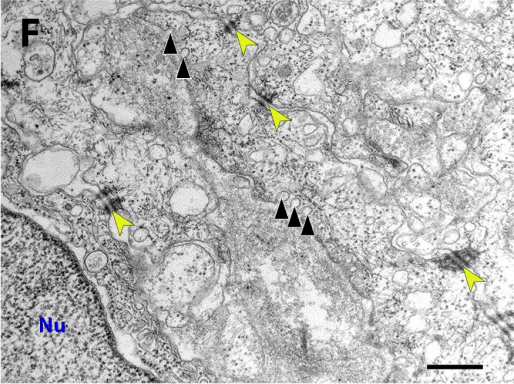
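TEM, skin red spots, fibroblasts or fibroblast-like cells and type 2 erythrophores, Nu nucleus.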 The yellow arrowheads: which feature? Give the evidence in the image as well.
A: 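Short electron-dense plaques on apposed cell membranes. Dark filamentous material fans out from each plaque into the cytoplasm.
Answer: desmosomes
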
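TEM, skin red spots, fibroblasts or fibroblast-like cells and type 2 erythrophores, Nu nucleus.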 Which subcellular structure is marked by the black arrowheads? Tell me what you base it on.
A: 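Small flask-shaped invaginations along the cell membrane. They are arranged in a row along the cell surface. So: caveolae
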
